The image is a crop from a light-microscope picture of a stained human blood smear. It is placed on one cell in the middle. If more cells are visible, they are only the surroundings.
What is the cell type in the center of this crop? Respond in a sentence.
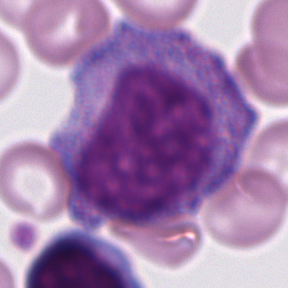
For this crop, the central cell is a promyelocyte.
